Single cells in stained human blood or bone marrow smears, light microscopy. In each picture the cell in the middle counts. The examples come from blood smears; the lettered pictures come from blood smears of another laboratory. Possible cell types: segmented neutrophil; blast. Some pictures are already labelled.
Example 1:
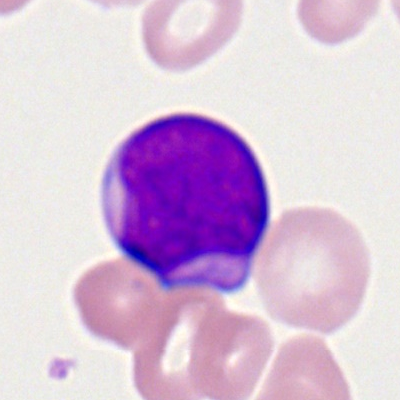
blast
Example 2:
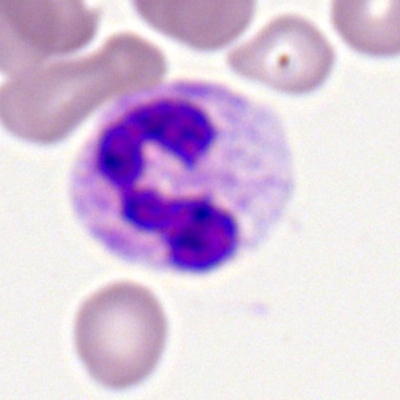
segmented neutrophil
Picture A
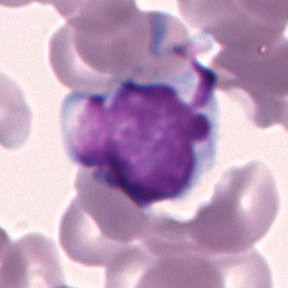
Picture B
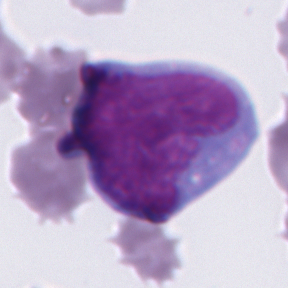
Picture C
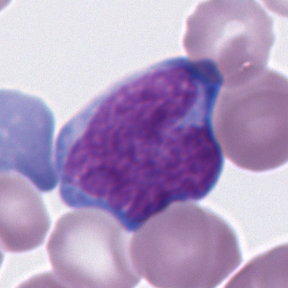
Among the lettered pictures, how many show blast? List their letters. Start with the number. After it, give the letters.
3, namely A, B, C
